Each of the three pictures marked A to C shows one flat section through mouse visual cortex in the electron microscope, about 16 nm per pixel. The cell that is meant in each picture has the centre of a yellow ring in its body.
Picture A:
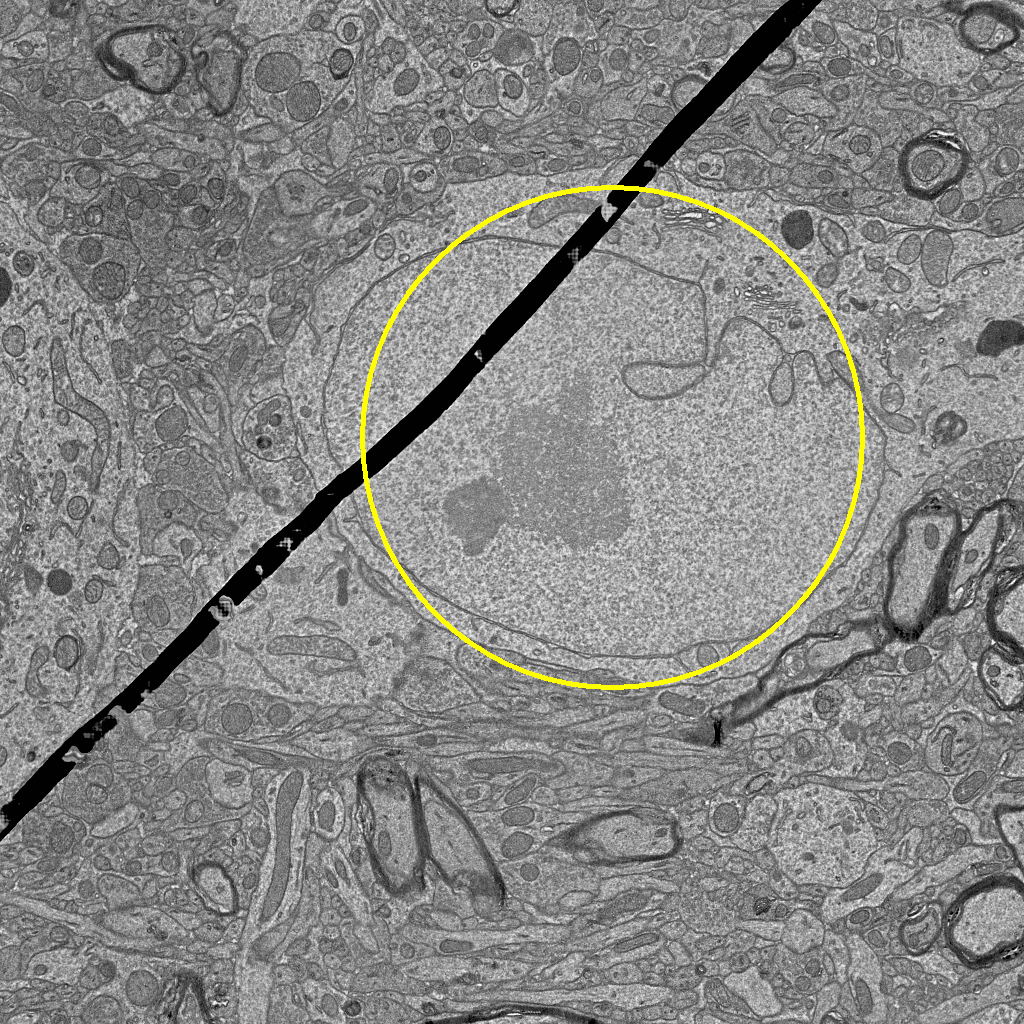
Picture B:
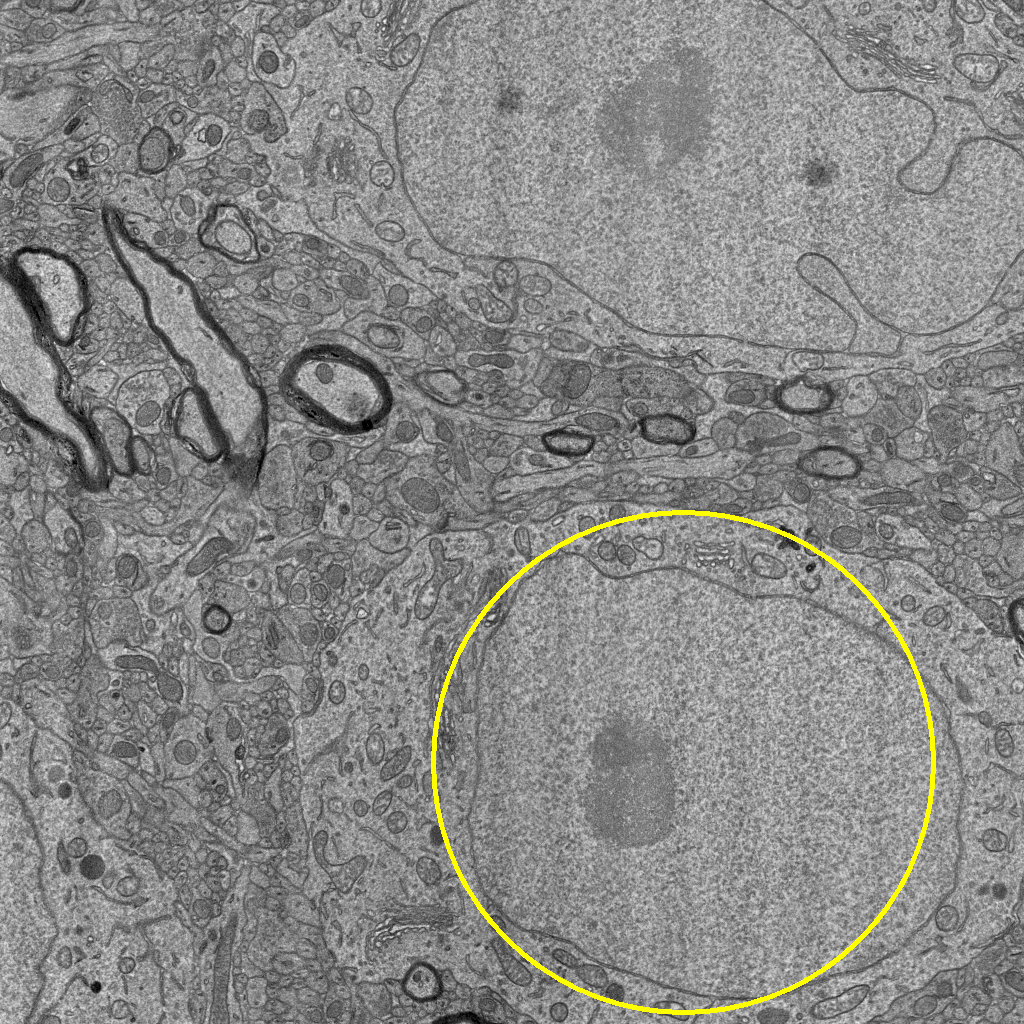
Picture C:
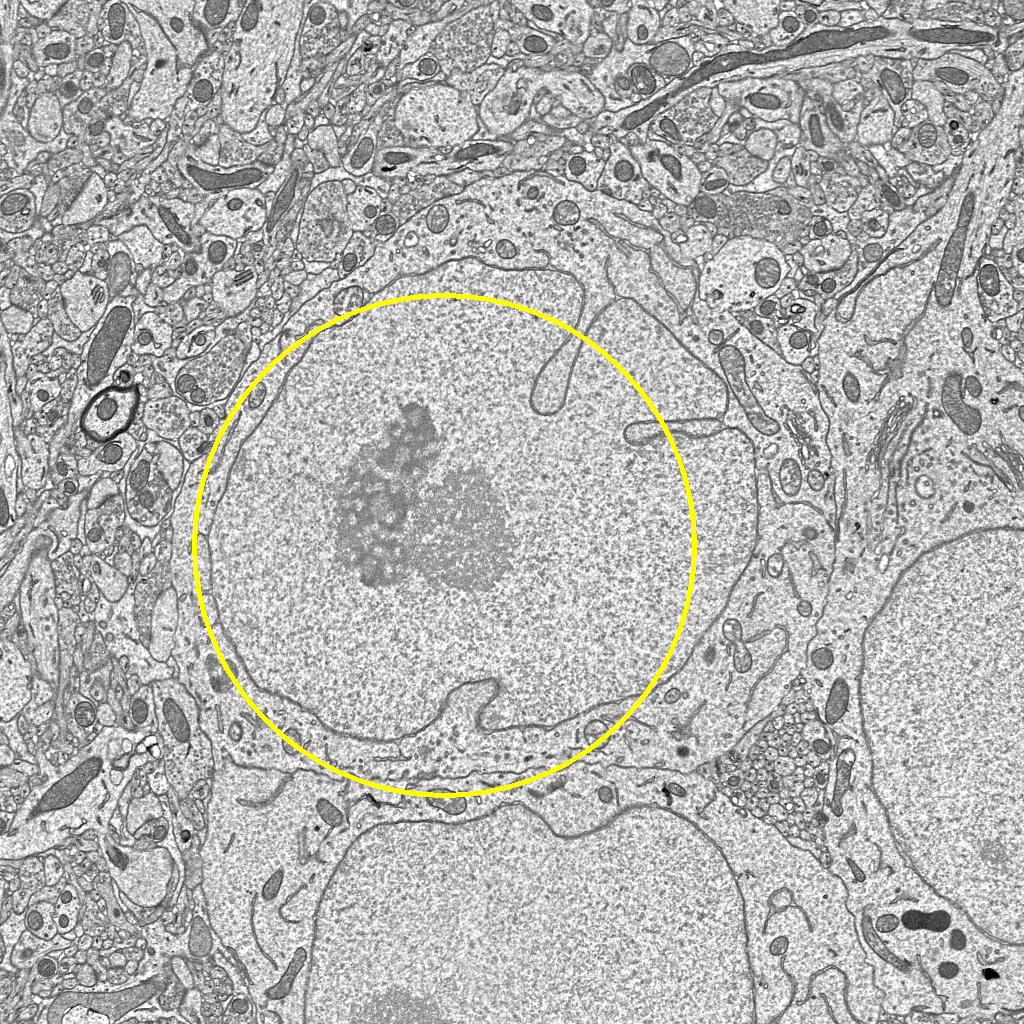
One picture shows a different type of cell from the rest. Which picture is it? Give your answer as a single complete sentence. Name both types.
Unlike the rest, which show inhibitory neurons, picture B shows an excitatory neuron.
